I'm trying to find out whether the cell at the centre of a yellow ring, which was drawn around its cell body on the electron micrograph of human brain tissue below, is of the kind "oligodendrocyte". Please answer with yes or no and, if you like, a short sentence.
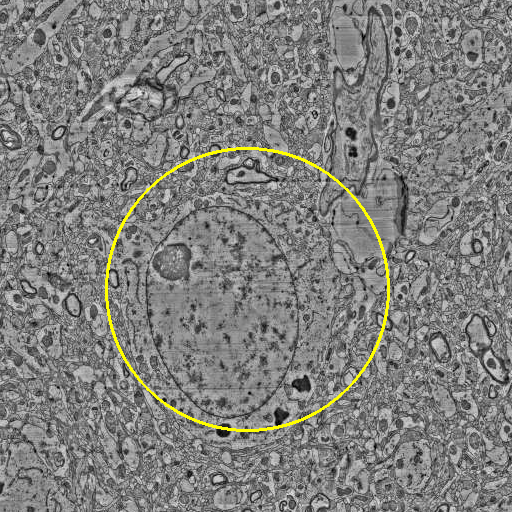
No, that cell is of another kind.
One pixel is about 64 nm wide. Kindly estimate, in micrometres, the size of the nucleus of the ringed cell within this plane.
The nucleus works out at approximately 14 by 10 micrometres in this plane.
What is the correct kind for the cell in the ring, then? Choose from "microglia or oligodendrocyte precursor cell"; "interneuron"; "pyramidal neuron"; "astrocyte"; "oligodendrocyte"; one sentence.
The cell shown in the ring is a pyramidal neuron.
